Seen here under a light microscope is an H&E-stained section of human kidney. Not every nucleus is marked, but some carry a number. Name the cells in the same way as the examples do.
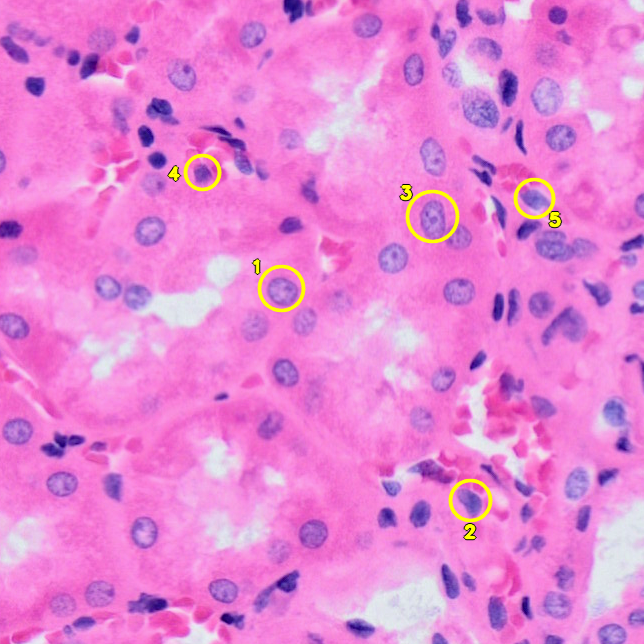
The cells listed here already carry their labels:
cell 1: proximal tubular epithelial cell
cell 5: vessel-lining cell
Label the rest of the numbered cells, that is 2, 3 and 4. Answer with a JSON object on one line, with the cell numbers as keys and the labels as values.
{"2": "vessel-lining cell", "3": "proximal tubular epithelial cell", "4": "vessel-lining cell"}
